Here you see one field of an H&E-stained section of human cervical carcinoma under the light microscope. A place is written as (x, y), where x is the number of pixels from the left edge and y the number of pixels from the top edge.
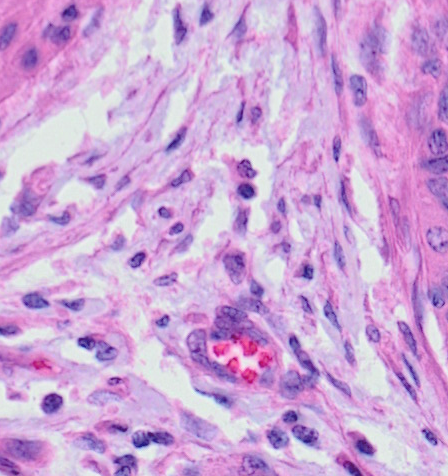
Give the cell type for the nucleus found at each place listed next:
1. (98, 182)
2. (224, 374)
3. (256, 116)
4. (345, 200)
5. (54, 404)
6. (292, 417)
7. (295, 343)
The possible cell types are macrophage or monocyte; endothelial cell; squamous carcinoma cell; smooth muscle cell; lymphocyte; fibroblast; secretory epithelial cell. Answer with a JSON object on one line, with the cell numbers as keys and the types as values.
{"1": "fibroblast", "2": "endothelial cell", "3": "fibroblast", "4": "fibroblast", "5": "lymphocyte", "6": "lymphocyte", "7": "lymphocyte"}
